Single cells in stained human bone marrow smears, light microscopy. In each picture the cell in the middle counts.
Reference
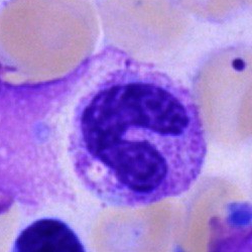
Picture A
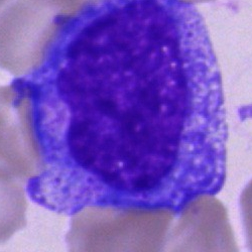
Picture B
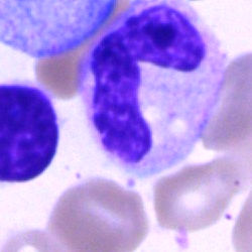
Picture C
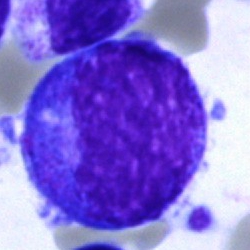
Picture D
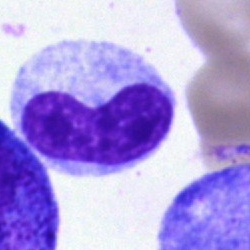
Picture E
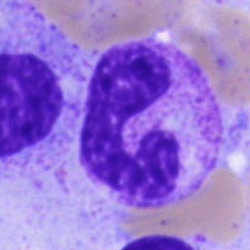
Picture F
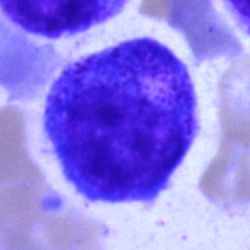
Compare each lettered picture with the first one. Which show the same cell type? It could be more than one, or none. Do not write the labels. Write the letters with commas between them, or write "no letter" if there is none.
B, D, E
